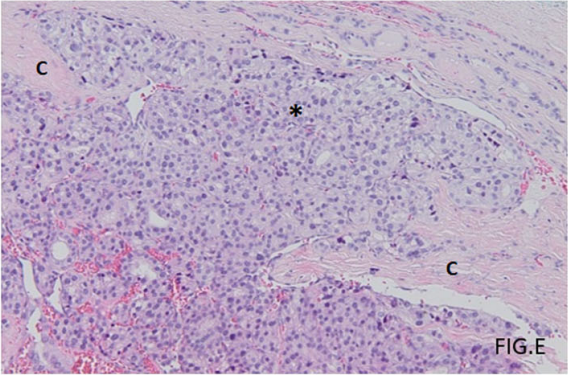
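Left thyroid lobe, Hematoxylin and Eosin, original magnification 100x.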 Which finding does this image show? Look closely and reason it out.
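Bands of pink fibrous capsule tissue are traversed and surrounded by sheets of tumour cells. Tumour cells extend between and beyond the fibrous bands.
Hence: Capsular invasion.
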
